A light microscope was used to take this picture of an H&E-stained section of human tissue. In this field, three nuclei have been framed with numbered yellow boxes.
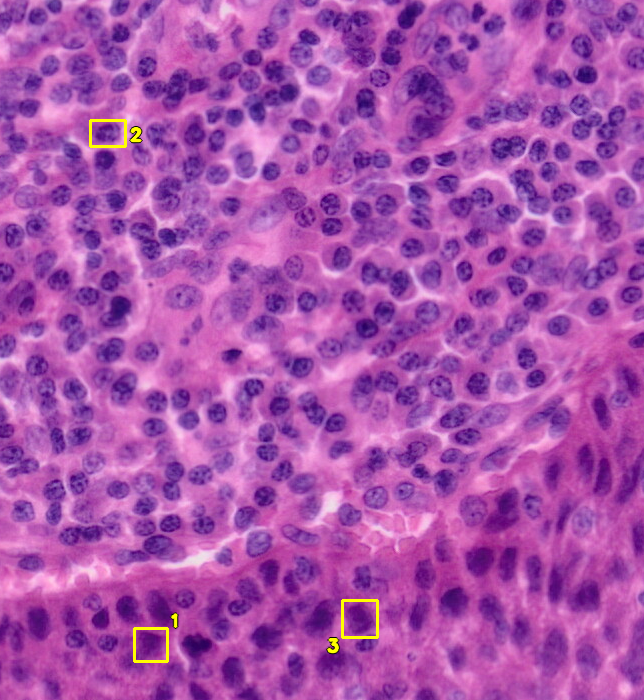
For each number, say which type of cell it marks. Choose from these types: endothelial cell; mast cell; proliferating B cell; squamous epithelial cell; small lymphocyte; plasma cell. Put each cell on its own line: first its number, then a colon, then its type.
1: squamous epithelial cell
2: plasma cell
3: squamous epithelial cell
